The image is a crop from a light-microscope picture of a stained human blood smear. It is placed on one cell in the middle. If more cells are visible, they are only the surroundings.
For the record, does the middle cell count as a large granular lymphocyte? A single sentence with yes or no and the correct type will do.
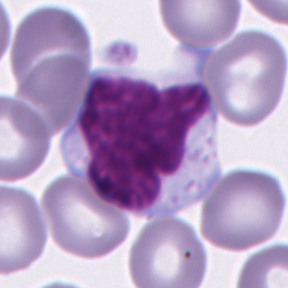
Yes, the cell at the center of the crop is a large granular lymphocyte.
